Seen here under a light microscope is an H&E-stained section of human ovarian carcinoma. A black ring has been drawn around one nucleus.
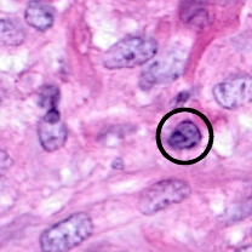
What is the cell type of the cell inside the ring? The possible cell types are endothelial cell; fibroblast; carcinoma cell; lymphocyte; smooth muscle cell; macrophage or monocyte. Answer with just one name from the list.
macrophage or monocyte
